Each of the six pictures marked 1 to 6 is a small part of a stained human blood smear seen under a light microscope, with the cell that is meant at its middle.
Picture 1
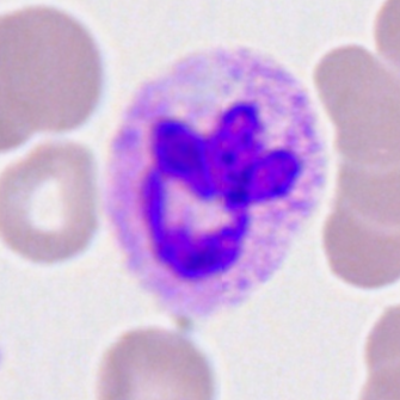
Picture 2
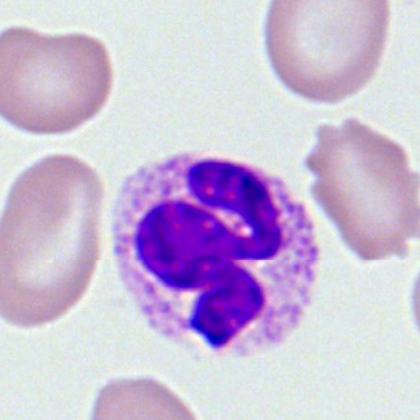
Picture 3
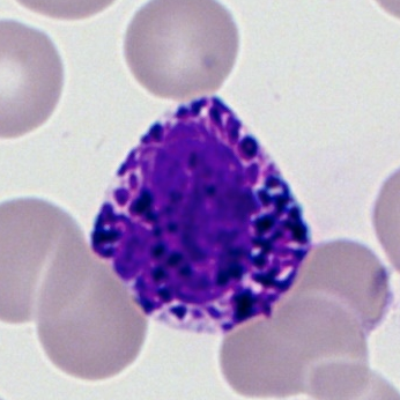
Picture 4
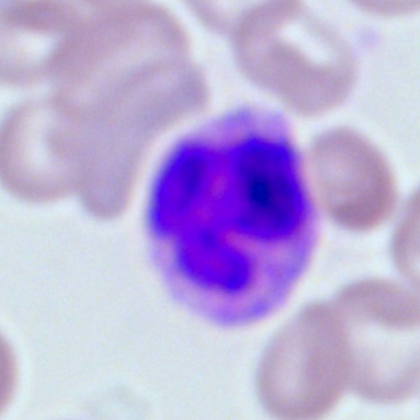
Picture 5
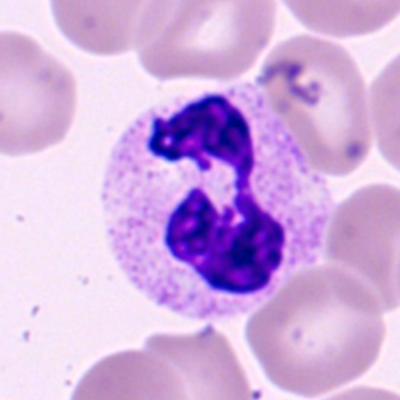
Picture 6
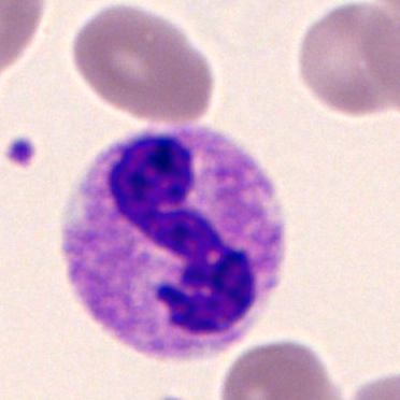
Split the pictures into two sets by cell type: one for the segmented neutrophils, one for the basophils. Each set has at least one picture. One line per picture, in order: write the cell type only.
segmented neutrophil
segmented neutrophil
basophil
basophil
segmented neutrophil
segmented neutrophil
